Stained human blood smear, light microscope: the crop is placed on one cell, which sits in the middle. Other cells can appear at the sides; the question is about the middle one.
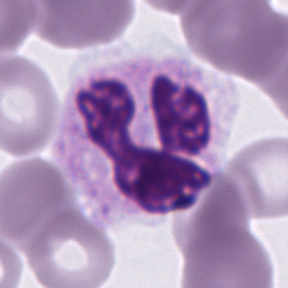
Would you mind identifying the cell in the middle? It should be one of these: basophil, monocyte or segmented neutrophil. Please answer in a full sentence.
The central element of this crop is a cell, namely a segmented neutrophil.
